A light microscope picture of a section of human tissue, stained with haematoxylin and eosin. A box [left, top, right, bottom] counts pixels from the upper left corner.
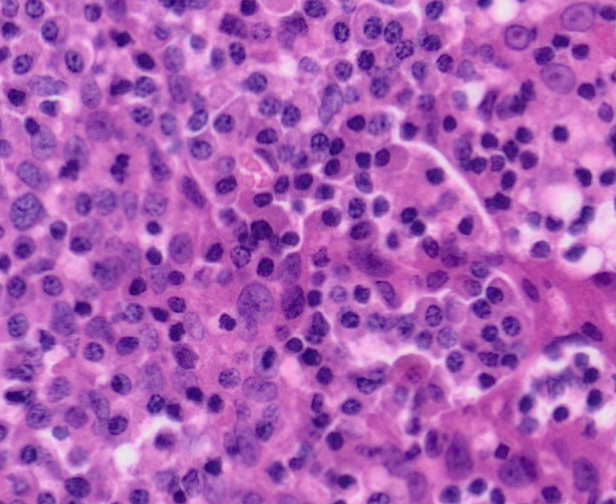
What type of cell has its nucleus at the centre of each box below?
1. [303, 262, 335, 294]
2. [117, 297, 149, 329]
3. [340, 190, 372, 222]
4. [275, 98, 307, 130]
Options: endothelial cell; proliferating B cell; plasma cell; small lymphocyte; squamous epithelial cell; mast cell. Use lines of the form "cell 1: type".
cell 1: squamous epithelial cell
cell 2: plasma cell
cell 3: plasma cell
cell 4: plasma cell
